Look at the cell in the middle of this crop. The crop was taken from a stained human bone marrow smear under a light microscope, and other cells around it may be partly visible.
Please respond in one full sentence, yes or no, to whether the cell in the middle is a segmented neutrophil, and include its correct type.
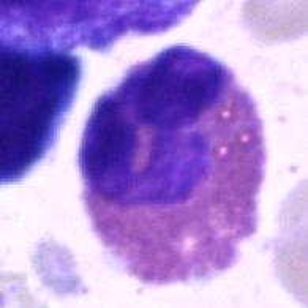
No, the cell at the centre is an eosinophil, which rules out a segmented neutrophil.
